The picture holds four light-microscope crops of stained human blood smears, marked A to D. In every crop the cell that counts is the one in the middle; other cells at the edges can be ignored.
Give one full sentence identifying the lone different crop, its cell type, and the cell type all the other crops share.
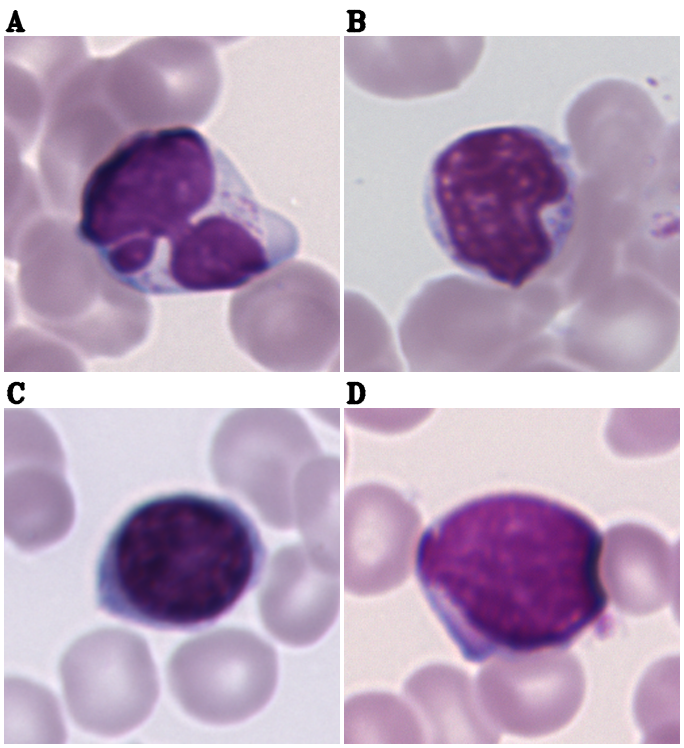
Although the other crops all show large granular lymphocytes, crop C shows a typical lymphocyte.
